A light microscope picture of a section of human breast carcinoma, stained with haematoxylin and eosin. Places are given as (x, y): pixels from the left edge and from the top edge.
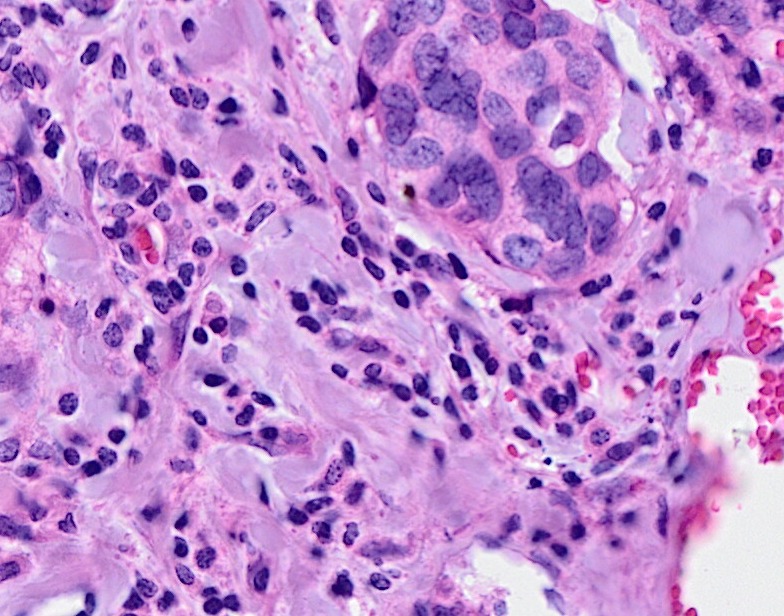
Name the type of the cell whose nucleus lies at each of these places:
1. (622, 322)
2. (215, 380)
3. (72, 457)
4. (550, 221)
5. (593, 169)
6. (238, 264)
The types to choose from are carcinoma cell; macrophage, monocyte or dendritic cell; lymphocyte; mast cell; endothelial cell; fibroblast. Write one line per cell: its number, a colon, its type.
1: lymphocyte
2: lymphocyte
3: lymphocyte
4: carcinoma cell
5: carcinoma cell
6: lymphocyte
